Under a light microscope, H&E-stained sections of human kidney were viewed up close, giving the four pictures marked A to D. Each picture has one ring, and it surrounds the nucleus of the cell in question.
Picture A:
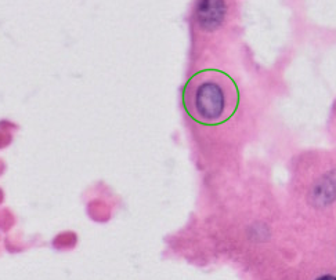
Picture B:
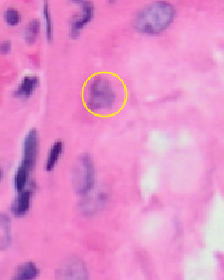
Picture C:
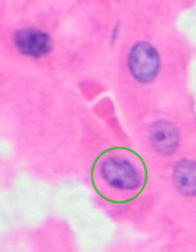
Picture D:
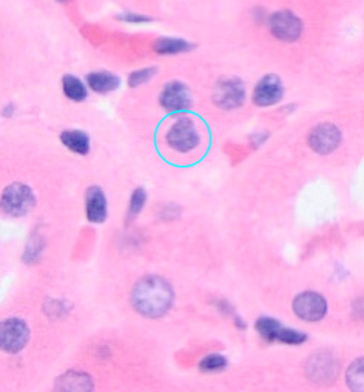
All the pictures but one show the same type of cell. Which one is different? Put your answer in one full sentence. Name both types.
All pictures except D show proximal tubule cells; picture D shows a “loop of Henle or distal tubule cell”.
